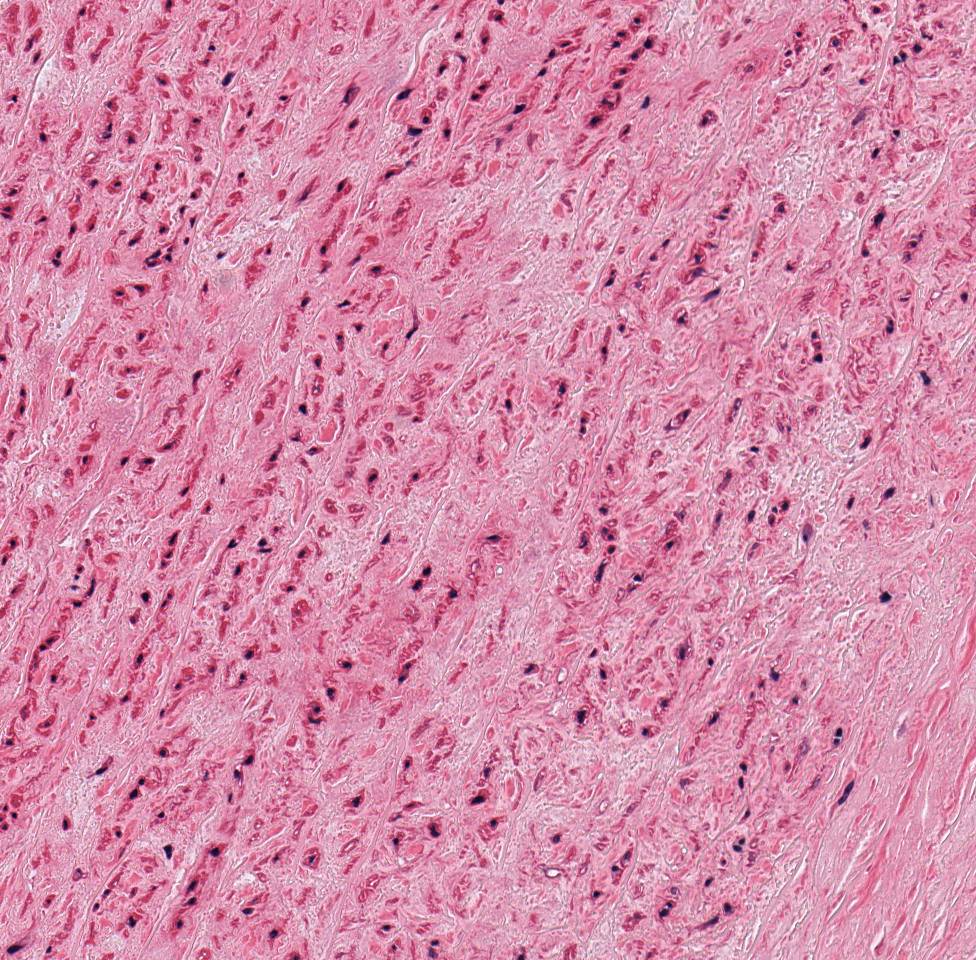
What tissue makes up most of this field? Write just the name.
tunica media of an artery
